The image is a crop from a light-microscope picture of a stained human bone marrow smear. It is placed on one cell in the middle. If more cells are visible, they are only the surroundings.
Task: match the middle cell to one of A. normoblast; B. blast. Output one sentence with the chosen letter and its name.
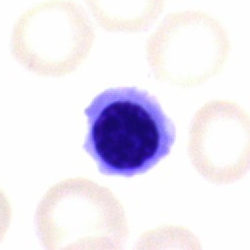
Option A is the right choice, the central cell being a normoblast.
